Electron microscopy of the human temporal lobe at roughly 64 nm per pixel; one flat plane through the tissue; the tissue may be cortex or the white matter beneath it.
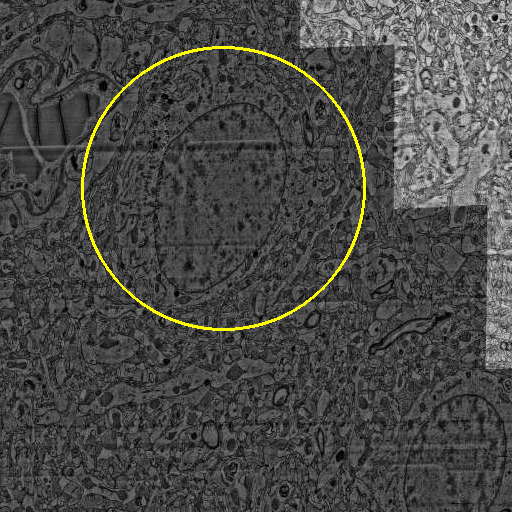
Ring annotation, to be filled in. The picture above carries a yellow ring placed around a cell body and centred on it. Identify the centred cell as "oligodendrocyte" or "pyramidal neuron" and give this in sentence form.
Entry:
The cell in the middle of the ring is a pyramidal neuron.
